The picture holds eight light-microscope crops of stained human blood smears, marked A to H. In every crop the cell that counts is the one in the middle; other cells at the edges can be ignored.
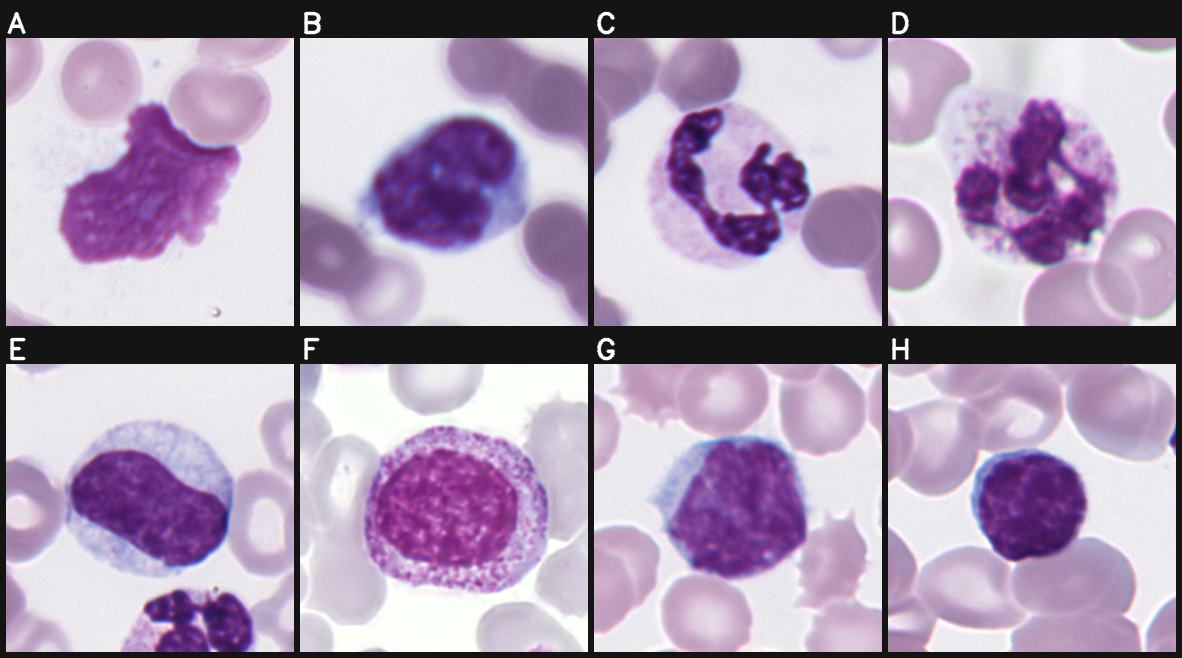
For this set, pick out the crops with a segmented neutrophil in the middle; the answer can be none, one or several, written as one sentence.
In the centres of crops C and D lie segmented neutrophils.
